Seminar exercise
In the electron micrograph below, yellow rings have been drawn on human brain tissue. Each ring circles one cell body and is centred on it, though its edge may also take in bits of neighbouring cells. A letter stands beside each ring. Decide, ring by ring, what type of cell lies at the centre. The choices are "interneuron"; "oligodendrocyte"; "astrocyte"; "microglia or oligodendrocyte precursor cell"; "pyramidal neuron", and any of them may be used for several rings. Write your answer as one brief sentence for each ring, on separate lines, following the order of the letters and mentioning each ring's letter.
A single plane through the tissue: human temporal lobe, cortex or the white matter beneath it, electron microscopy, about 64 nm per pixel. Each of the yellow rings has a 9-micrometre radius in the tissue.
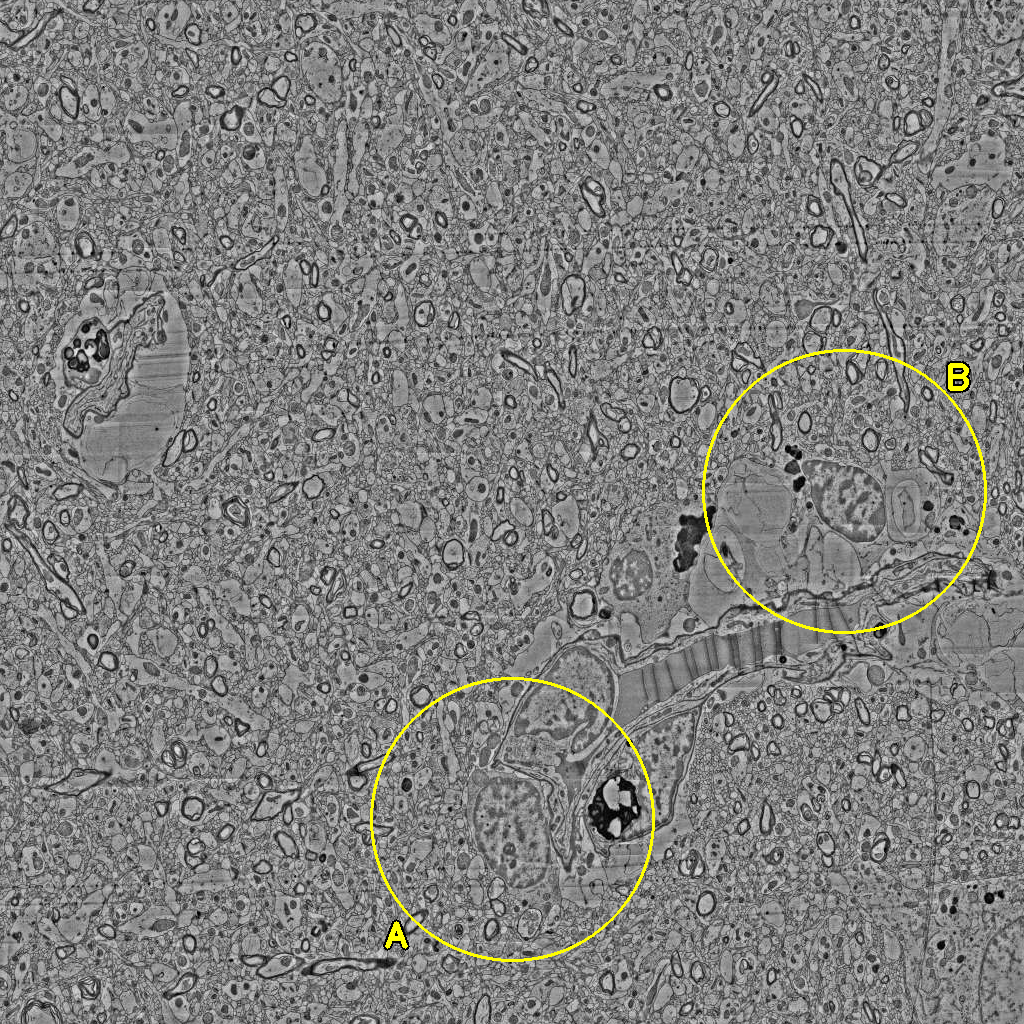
The cell in the middle of ring A is an oligodendrocyte.
The cell in the middle of ring B is a microglial cell or oligodendrocyte precursor cell.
